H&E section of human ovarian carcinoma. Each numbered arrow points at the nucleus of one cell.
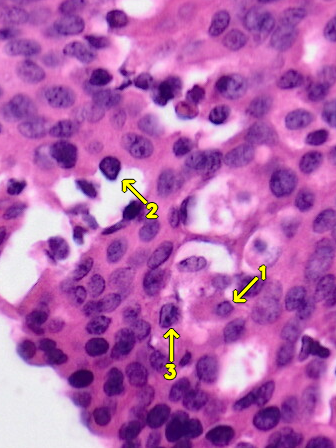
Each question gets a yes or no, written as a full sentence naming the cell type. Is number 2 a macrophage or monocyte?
No, the cell labelled number 2 is not a macrophage or monocyte; it is a carcinoma cell.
